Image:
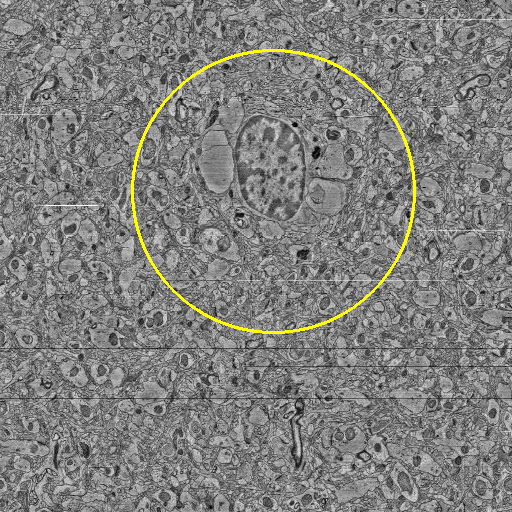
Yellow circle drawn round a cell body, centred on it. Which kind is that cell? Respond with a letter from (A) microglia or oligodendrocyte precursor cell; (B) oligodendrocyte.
A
